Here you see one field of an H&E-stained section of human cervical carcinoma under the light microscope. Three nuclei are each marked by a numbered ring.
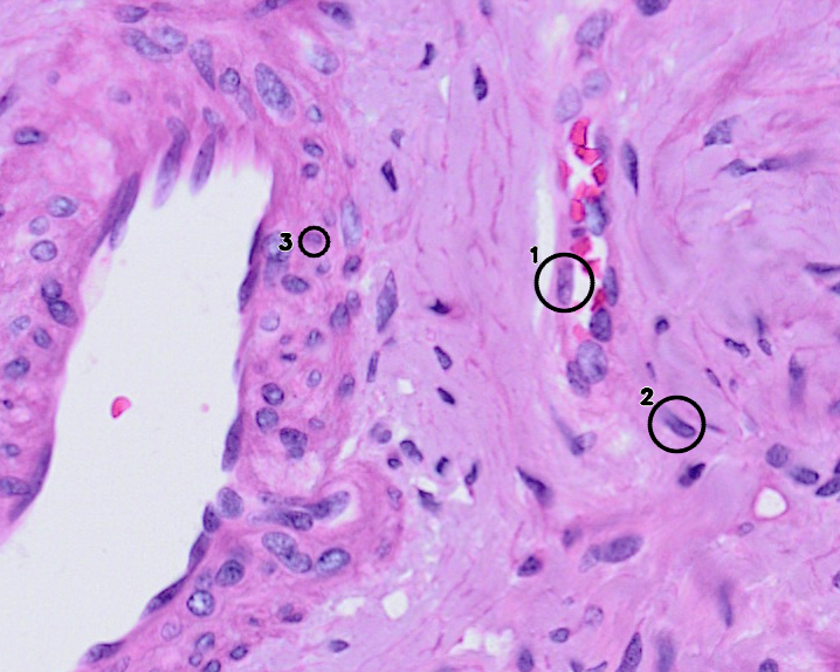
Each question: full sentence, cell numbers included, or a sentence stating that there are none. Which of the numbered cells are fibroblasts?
Cell 2 represents a fibroblast, and no other numbered cell does.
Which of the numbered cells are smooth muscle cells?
Cell 3 is a smooth muscle cell; no further numbered cell is.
